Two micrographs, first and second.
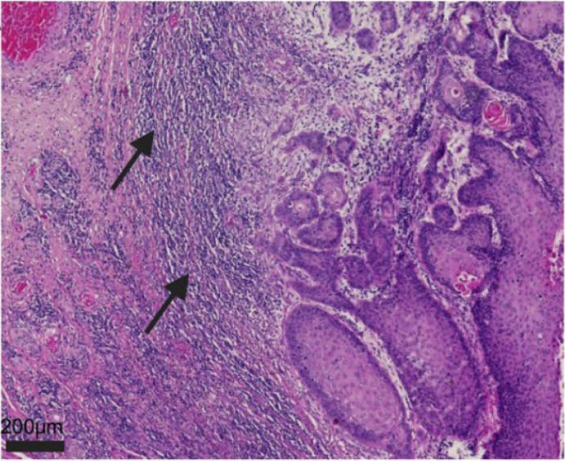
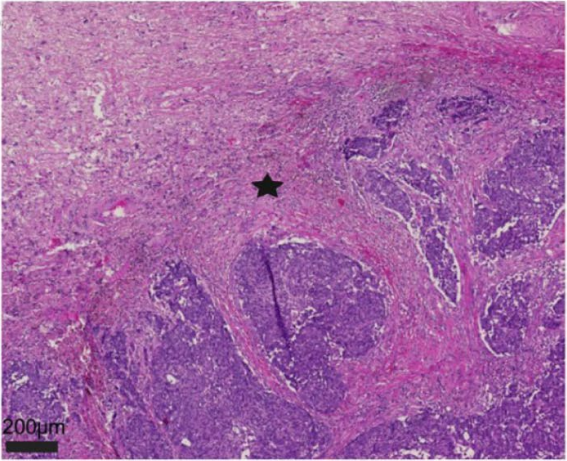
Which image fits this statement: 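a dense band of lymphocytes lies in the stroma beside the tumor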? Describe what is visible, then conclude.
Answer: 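Second image: the pink stroma next to the tumor nests holds only scattered small dark cells. First image: a broad, crowded band of small dark nuclei lies in the stroma beside the tumor nests.
Hence: the first image.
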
